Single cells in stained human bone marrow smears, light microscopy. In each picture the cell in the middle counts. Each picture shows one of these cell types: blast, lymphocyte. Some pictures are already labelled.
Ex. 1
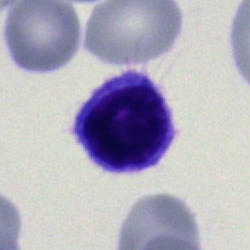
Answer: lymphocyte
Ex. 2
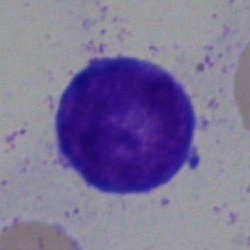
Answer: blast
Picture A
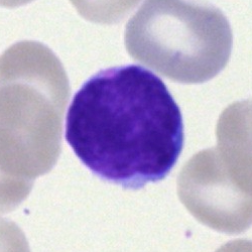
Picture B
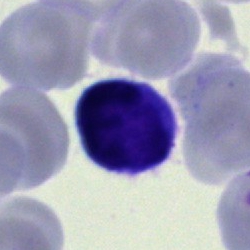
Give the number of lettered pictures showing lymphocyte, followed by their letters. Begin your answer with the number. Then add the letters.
2: A, B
